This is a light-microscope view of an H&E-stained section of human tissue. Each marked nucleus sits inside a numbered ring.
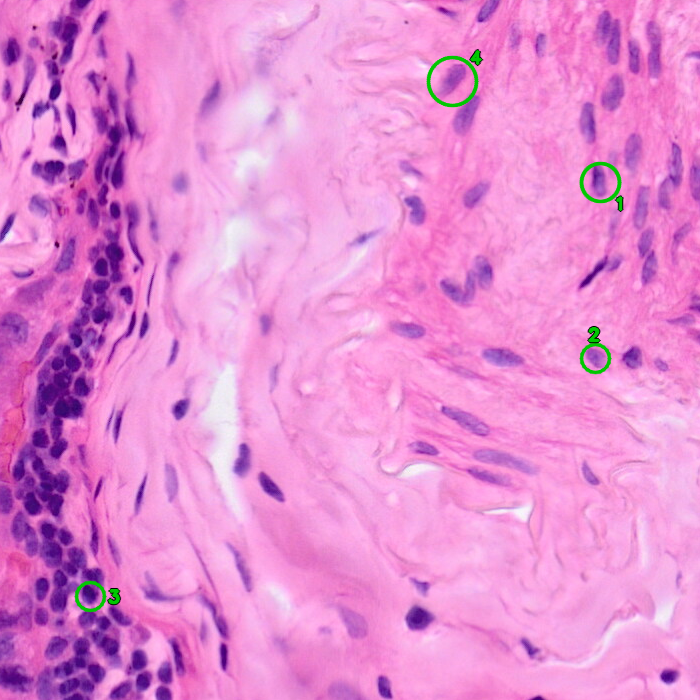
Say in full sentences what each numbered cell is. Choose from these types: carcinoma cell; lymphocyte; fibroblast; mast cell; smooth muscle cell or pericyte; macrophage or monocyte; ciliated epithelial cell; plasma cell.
Cell 1 is a smooth muscle cell or pericyte, cell 2 is a smooth muscle cell or pericyte, cell 3 is a lymphocyte and cell 4 is a smooth muscle cell or pericyte.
